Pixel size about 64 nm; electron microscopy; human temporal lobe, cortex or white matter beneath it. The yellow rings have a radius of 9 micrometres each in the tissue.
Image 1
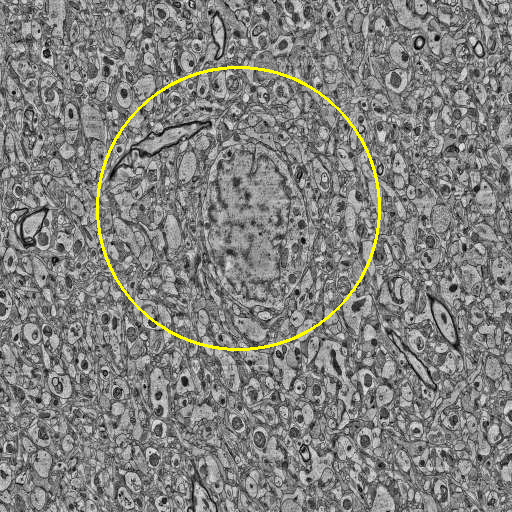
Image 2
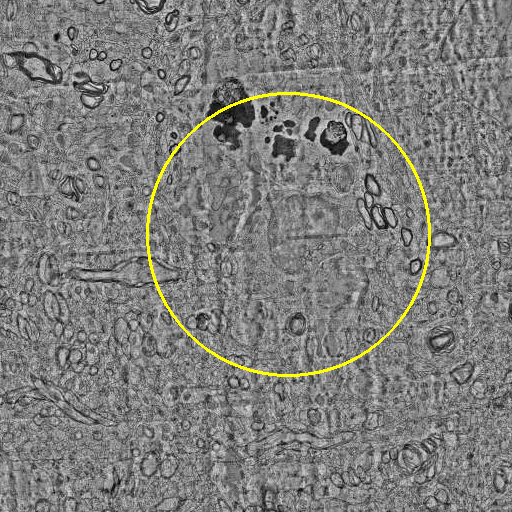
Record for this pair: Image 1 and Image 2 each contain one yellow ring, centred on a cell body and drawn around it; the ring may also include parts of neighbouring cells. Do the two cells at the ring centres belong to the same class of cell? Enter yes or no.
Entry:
no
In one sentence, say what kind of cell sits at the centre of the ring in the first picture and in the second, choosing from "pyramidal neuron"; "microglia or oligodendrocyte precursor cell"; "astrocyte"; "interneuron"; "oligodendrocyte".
The first picture's ringed cell is an interneuron, while the second picture's is an oligodendrocyte.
